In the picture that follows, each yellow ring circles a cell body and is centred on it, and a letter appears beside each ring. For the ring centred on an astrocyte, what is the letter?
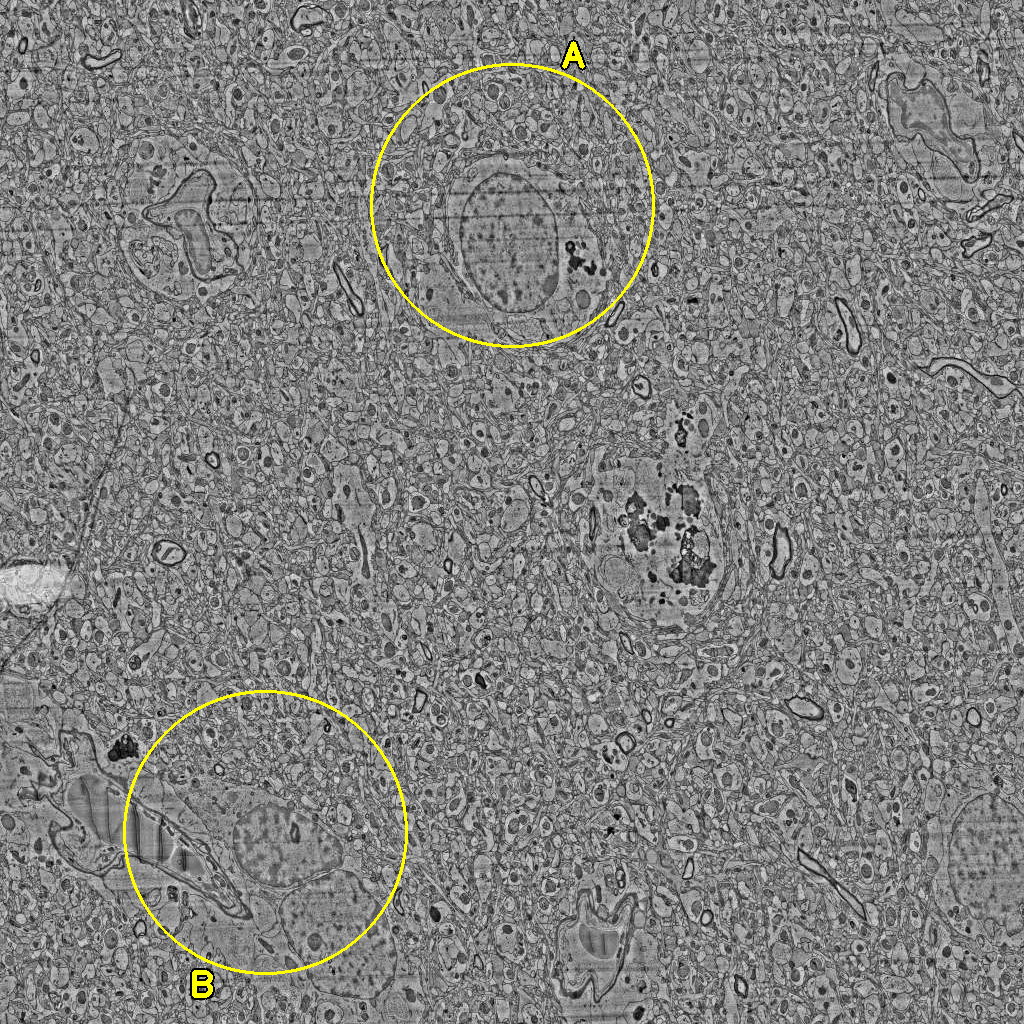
A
